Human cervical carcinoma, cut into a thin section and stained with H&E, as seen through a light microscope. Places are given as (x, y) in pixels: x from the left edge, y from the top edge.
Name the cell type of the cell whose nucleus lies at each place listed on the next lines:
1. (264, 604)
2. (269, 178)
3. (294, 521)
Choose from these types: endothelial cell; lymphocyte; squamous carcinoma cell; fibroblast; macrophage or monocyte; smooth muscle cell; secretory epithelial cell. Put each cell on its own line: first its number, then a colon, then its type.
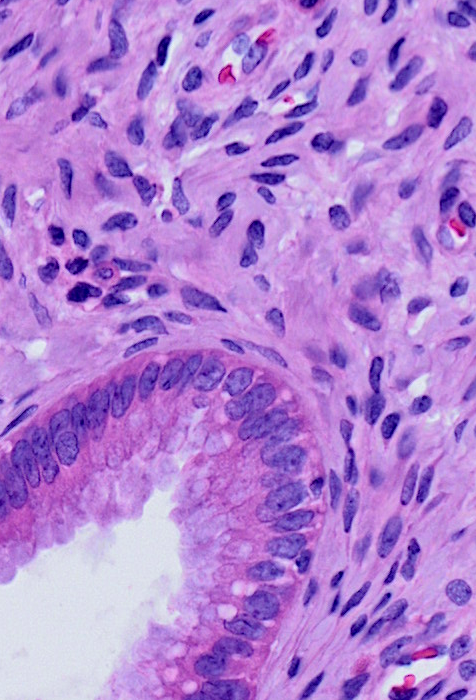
1: secretory epithelial cell
2: fibroblast
3: secretory epithelial cell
